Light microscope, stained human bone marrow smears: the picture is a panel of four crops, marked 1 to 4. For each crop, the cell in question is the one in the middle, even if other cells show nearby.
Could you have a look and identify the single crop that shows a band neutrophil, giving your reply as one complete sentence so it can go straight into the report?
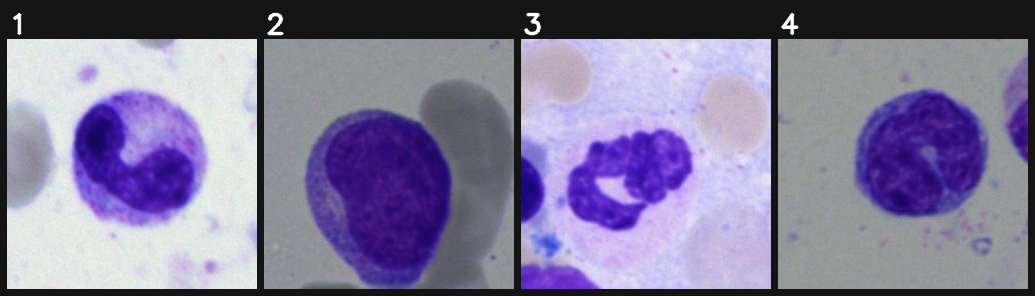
The cell identified as a band neutrophil is the one in crop 1.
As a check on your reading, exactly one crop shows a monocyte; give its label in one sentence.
Among all the crops given here, the one with a monocyte is crop 4.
